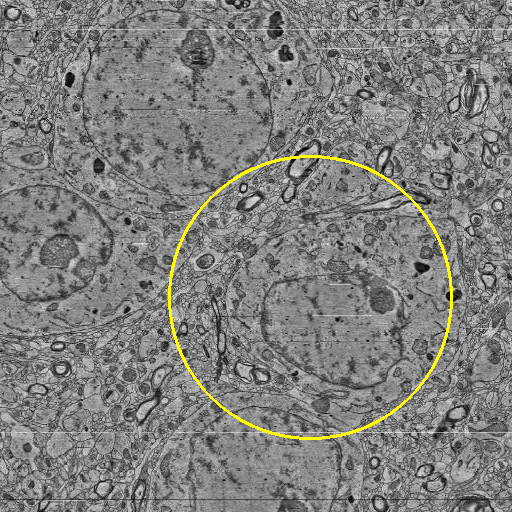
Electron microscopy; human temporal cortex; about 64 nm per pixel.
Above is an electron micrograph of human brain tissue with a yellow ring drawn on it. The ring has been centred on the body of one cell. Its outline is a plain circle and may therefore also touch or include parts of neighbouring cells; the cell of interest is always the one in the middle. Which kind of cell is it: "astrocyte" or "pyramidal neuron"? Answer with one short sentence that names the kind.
The ring's central cell body is that of a pyramidal neuron.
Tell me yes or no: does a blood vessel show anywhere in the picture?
No, no vessel appears in the picture.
